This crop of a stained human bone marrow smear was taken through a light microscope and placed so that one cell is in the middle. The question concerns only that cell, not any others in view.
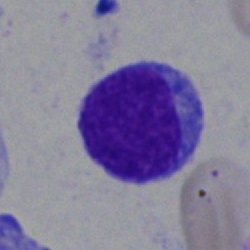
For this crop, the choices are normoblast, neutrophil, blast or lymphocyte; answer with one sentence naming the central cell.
The centered cell in this crop is a lymphocyte.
